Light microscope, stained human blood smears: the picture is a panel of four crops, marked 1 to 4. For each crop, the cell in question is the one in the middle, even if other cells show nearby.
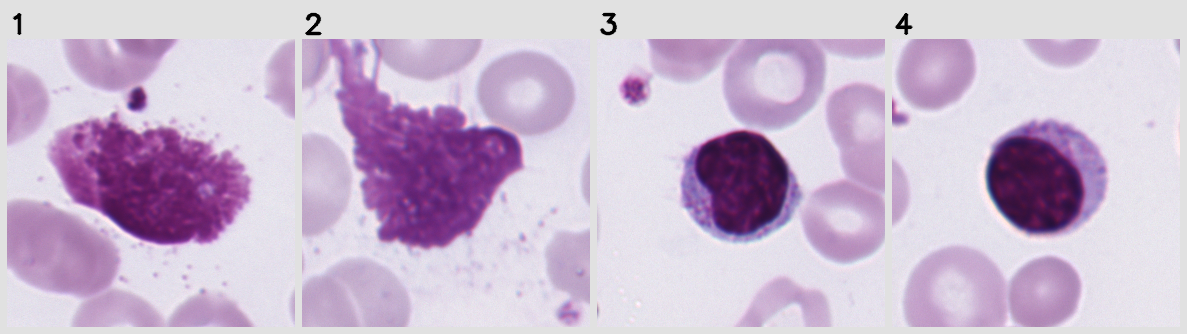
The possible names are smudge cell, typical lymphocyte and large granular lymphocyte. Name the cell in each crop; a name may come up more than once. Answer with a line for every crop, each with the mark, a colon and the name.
1: smudge cell
2: smudge cell
3: large granular lymphocyte
4: typical lymphocyte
